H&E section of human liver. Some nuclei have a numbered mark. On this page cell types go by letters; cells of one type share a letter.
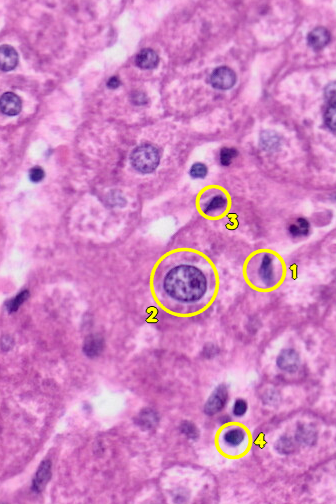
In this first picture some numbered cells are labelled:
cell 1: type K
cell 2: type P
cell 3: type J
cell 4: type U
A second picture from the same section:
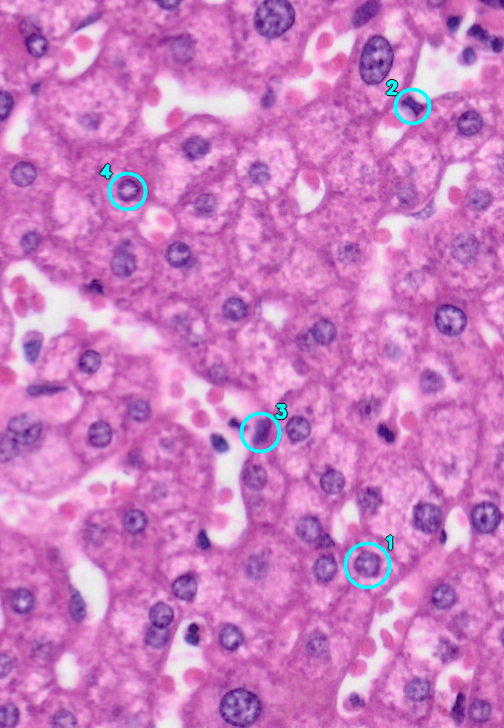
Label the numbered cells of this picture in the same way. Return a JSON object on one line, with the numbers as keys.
{"1": "type P", "2": "type K", "3": "type J", "4": "type P"}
